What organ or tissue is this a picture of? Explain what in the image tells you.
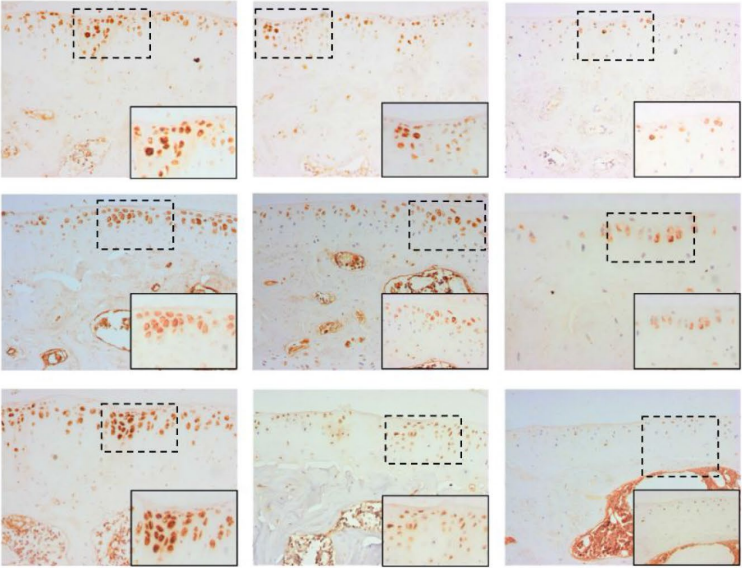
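A smooth-surfaced layer of pale matrix in which rounded cells sit singly or in small groups within lacunae. The layer lies on top of denser tissue with marrow spaces, the bone beneath it. On this evidence: articular cartilage.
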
